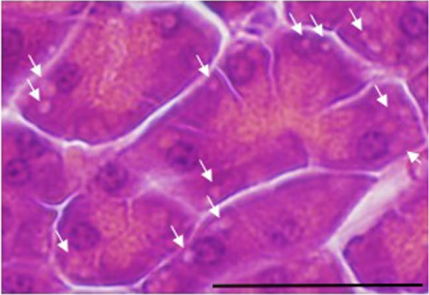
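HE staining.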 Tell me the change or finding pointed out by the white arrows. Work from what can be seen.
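Vacuole formation. The arrows point to small round clear spaces in the cytoplasm. The clear spaces lie mostly near the cell borders.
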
